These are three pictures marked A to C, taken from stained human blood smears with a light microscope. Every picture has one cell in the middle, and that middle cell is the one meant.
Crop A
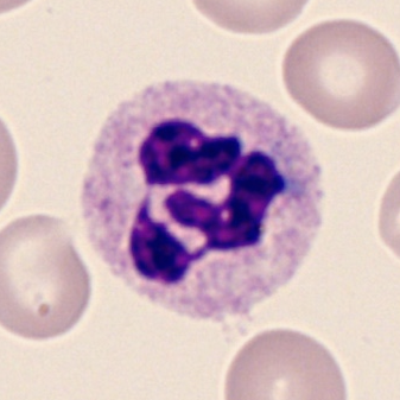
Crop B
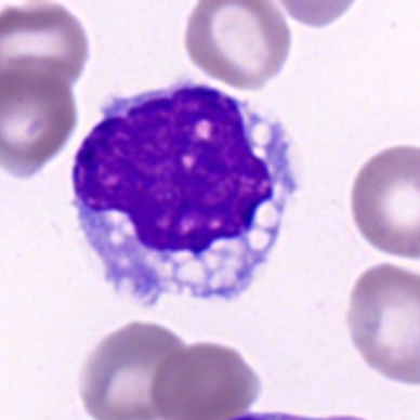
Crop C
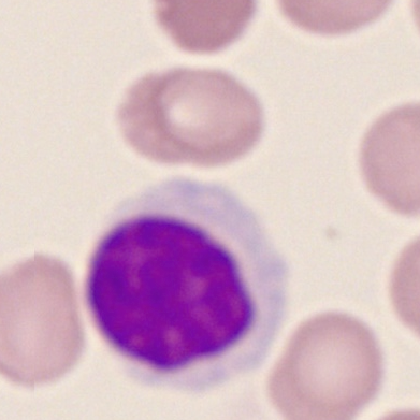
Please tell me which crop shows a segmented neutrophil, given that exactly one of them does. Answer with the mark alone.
A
